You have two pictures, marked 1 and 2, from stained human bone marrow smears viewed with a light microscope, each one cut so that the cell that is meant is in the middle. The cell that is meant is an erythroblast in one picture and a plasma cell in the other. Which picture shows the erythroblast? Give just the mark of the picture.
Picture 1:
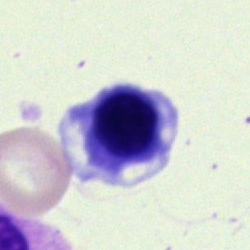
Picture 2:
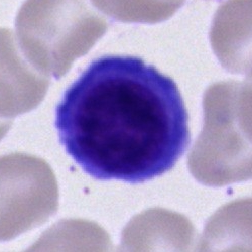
1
